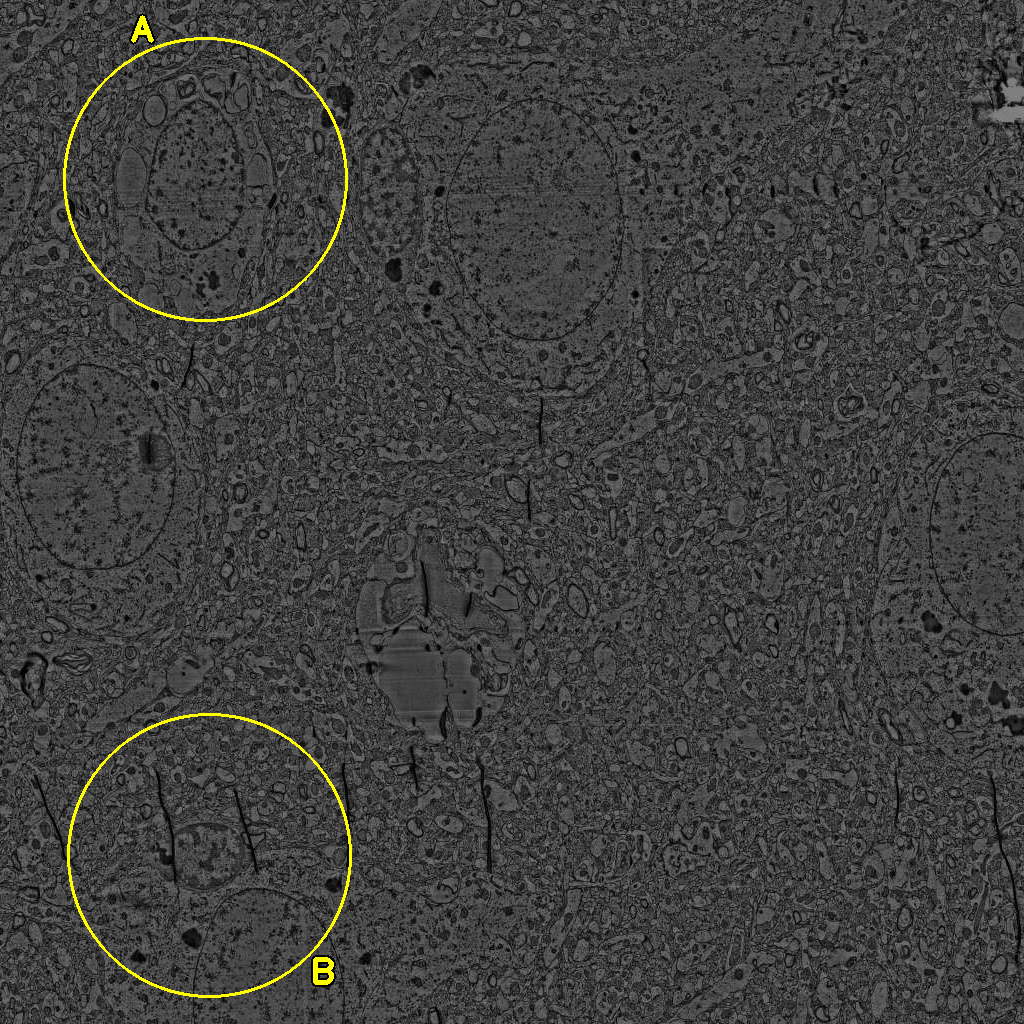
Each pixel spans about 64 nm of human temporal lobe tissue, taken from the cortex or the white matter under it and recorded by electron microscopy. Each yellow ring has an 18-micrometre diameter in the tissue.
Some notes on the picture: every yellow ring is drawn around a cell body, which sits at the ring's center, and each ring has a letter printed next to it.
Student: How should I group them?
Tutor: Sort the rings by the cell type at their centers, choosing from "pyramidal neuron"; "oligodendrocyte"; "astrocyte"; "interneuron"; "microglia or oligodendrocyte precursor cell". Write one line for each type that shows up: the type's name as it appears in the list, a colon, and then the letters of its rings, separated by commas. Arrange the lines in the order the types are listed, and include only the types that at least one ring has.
oligodendrocyte: B
astrocyte: A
